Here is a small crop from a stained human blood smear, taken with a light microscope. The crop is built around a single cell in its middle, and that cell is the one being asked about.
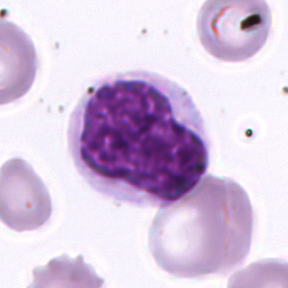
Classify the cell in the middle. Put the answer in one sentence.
Where the crop is centred, there is a metamyelocyte.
